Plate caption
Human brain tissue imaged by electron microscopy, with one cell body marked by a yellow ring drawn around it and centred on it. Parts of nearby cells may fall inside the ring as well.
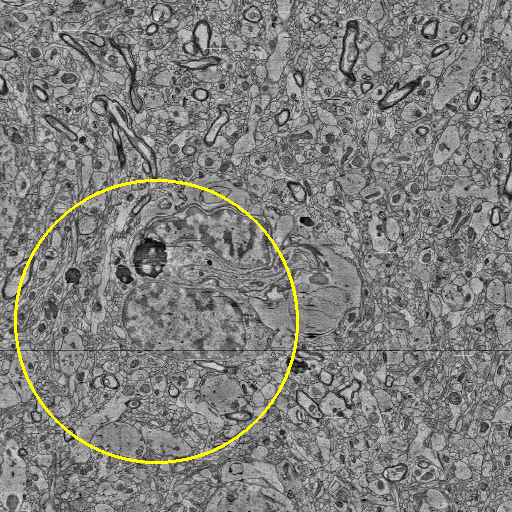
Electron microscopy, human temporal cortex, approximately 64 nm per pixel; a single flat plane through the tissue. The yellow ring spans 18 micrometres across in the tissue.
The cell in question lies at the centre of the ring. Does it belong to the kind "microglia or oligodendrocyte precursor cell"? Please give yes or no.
No, it belongs to another kind.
